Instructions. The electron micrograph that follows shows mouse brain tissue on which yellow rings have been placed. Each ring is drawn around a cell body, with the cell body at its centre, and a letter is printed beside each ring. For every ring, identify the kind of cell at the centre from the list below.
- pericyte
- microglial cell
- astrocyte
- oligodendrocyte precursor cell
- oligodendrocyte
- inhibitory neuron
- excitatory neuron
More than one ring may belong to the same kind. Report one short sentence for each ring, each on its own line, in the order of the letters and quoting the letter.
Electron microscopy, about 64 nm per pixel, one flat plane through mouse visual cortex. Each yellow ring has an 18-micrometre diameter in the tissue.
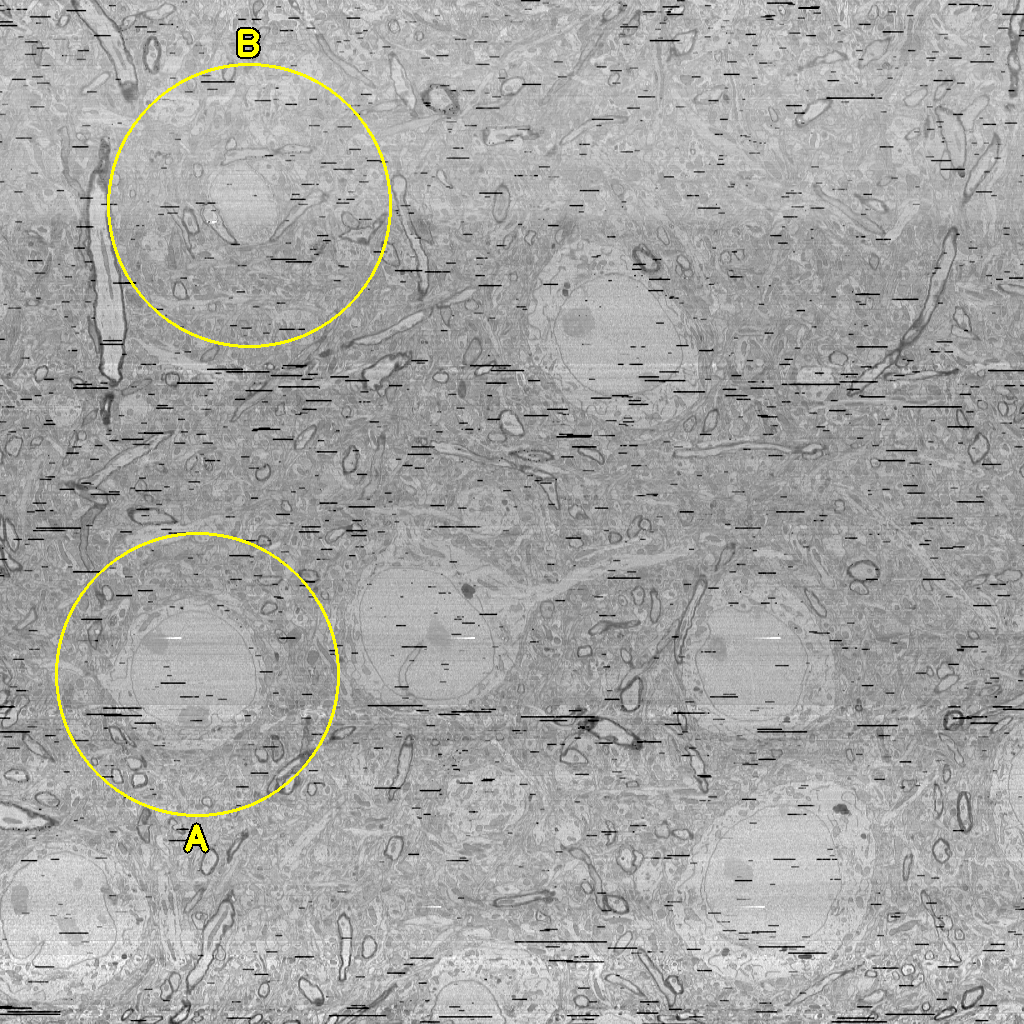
The centre of ring A is occupied by an excitatory neuron.
The centre of ring B is occupied by an oligodendrocyte precursor cell.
